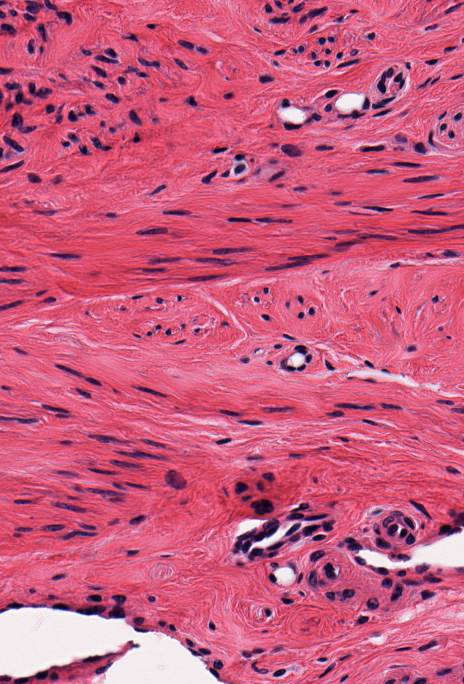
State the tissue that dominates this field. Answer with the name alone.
dense connective tissue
